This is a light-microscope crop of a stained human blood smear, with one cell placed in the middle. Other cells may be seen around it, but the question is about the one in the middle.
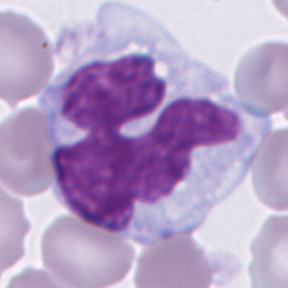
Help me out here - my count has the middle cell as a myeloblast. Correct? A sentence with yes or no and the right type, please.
No, the label for the central cell is a monocyte, not a myeloblast.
